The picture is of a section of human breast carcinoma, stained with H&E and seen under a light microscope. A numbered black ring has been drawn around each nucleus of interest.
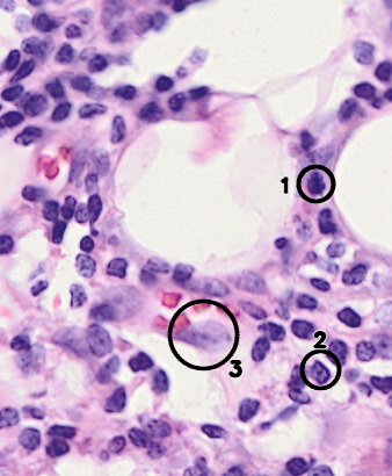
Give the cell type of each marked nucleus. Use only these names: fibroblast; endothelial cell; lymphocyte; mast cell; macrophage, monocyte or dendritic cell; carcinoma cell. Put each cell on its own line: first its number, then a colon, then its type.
1: lymphocyte
2: lymphocyte
3: endothelial cell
